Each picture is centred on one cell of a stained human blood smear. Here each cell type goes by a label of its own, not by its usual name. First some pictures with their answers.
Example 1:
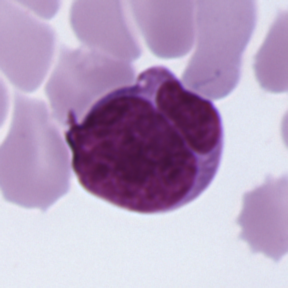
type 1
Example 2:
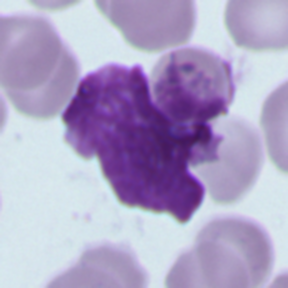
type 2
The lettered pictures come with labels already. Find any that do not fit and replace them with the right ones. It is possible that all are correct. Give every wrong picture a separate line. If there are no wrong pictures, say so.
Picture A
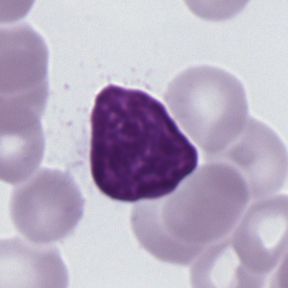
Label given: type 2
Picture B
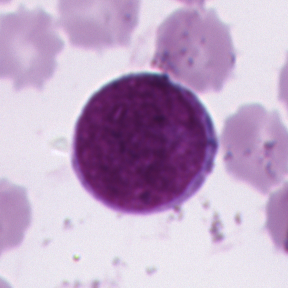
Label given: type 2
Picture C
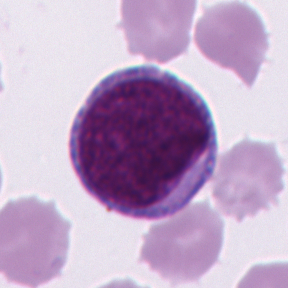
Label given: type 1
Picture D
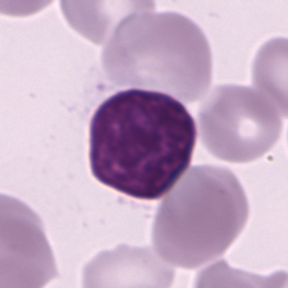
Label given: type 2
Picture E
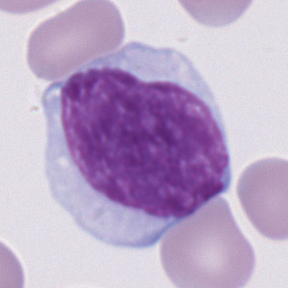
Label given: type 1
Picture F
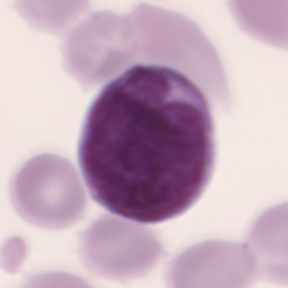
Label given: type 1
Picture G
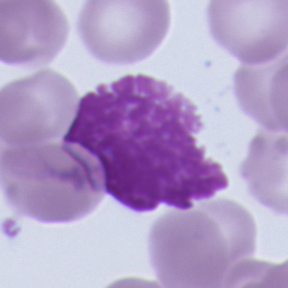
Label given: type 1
Wrong: B (type 2); correct: type 1
Wrong: G (type 1); correct: type 2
